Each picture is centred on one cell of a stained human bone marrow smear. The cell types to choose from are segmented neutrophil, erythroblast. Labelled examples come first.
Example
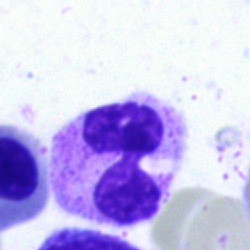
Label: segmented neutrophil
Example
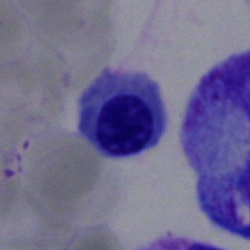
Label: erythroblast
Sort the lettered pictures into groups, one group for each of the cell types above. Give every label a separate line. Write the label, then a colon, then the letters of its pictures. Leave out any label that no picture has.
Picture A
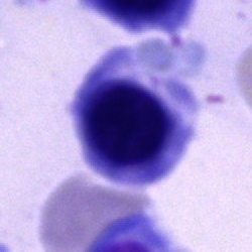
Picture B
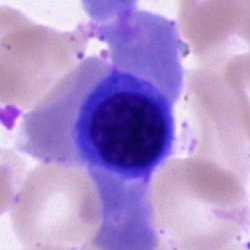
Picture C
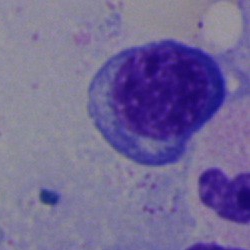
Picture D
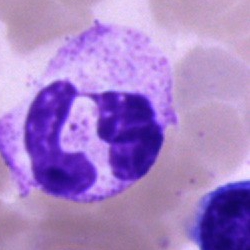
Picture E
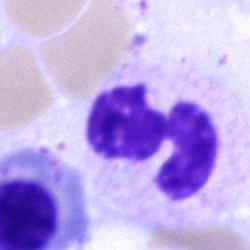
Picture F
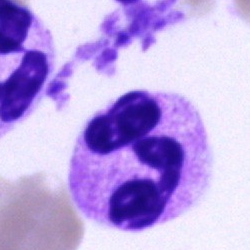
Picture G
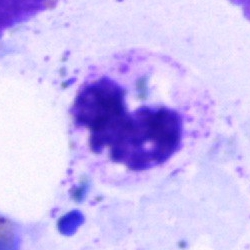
segmented neutrophil: D, E, F, G
erythroblast: A, B, C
